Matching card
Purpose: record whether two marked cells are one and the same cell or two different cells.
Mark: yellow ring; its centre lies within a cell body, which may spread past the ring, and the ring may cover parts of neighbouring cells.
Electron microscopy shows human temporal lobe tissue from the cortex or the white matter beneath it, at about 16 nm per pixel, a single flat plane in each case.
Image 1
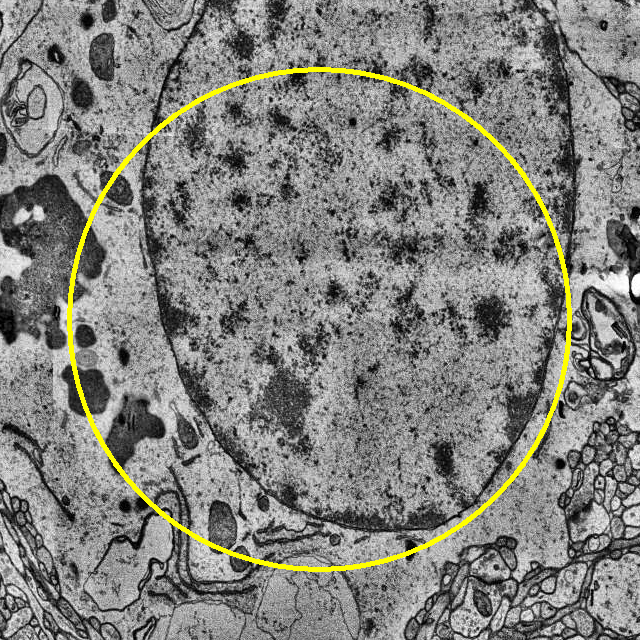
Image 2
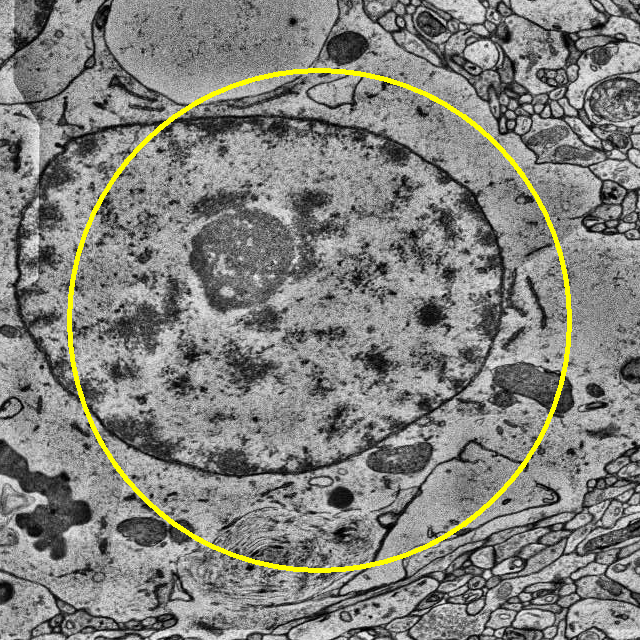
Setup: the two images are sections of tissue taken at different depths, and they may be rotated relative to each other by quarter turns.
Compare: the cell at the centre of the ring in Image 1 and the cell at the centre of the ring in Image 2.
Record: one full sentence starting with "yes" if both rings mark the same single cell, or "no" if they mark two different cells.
Yes, the two rings refer to one cell in the tissue.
